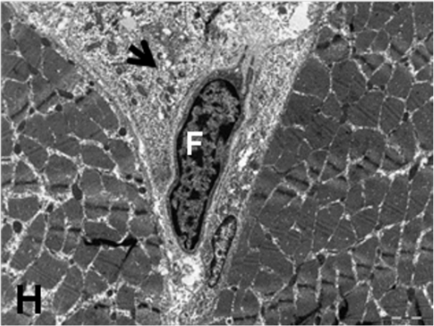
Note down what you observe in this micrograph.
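Electron micrograph of the endomysium between skeletal muscle fibers, holding an activated fibroblast. The fibroblast lies in a widened wedge of connective tissue where fibers meet; it has an elongated nucleus with dark, clumped chromatin. The surrounding cytoplasm and matrix are crowded with many small membranous profiles, the prominent rough endoplasmic reticulum. A second smaller elongated cell lies beside it. On both sides the muscle fibers are cut across, showing myofibrils as dark polygons outlined by a pale network.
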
